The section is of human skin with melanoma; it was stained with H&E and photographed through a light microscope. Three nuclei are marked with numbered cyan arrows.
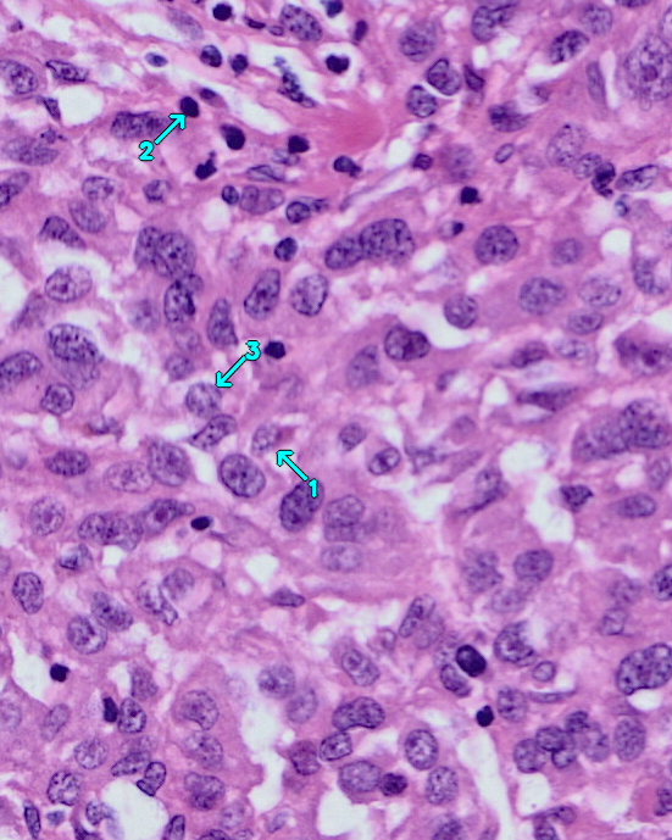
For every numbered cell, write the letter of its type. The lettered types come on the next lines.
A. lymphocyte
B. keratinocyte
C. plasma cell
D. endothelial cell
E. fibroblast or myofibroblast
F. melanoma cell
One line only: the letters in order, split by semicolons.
F; A; F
